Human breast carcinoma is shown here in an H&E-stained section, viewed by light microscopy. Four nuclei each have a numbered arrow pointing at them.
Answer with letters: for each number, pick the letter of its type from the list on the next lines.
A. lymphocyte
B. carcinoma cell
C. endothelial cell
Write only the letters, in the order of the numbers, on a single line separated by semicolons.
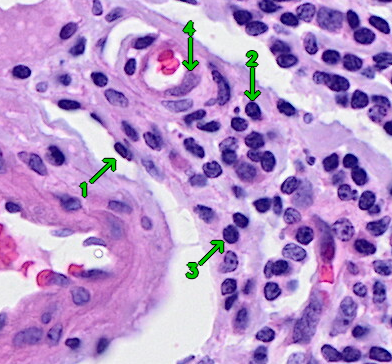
A; A; A; C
